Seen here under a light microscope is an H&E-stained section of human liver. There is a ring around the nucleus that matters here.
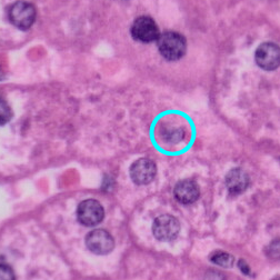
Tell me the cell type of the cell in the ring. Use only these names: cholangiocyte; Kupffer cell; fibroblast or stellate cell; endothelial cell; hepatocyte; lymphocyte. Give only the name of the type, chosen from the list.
endothelial cell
